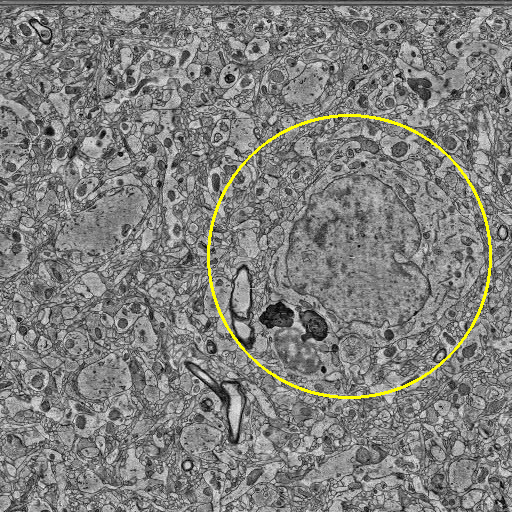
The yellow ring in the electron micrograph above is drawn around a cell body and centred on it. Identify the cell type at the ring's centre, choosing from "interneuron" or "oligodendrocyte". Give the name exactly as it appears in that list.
interneuron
